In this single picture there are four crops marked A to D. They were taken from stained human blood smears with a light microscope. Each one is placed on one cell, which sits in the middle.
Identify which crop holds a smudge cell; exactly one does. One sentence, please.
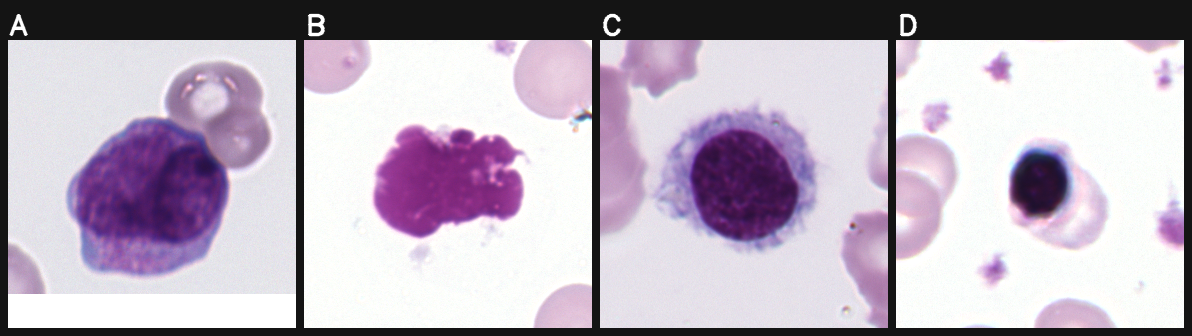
The crop showing a smudge cell in this series is crop B.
